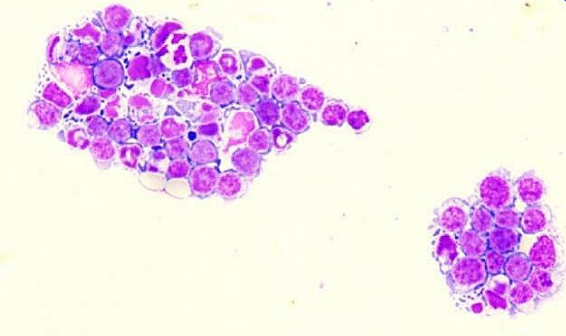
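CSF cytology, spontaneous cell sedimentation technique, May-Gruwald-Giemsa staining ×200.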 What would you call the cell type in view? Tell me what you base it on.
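Dense clusters of many round cells with large round nuclei. Scanty cytoplasm around the nuclei. On this evidence: tumor cells.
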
